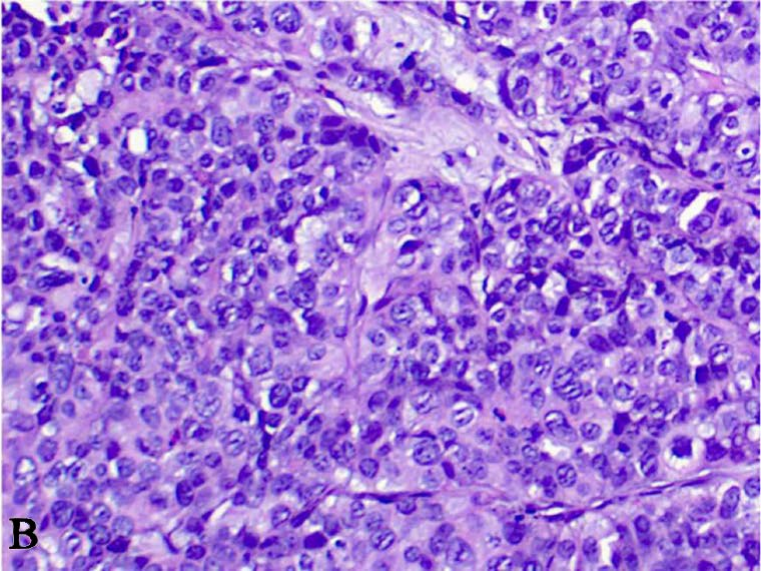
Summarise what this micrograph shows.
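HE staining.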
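This is a densely cellular sheet of tumour-like cells packed closely together, with little intervening tissue apart from thin pink strands that run between groups of cells. The nuclei are large and take up much of each cell, and many stain deep purple. They vary in size and shape, ranging from round and oval to angular and irregular, and several show distinct nucleoli. The cytoplasm is scant to moderate and pale pink, and the cell borders are poorly defined.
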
